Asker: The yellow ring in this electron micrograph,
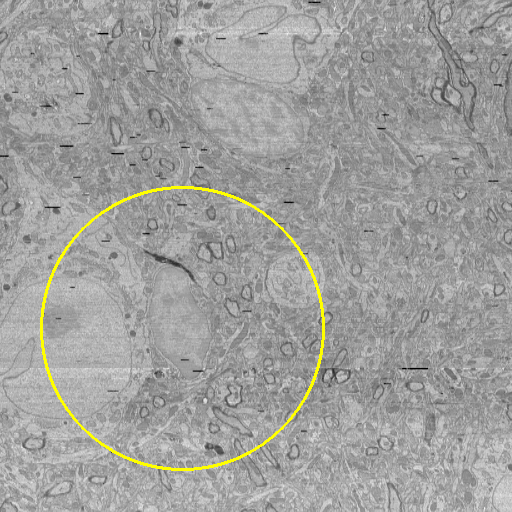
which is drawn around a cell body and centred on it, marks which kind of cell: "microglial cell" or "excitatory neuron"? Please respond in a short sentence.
The marked cell is a microglial cell.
